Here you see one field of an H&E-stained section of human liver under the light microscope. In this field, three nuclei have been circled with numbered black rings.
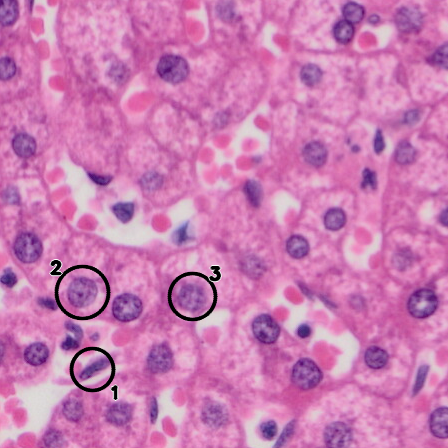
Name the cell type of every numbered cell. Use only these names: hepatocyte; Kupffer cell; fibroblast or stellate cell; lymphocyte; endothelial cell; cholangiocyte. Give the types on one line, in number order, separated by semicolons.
Kupffer cell; hepatocyte; hepatocyte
